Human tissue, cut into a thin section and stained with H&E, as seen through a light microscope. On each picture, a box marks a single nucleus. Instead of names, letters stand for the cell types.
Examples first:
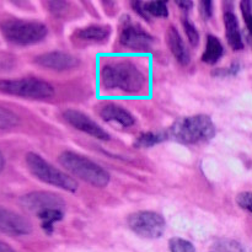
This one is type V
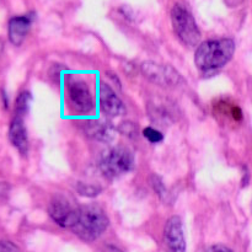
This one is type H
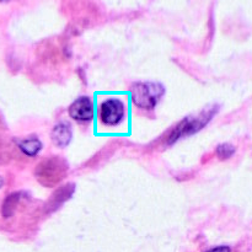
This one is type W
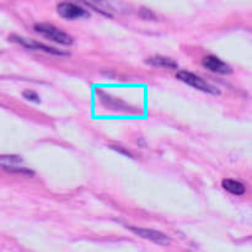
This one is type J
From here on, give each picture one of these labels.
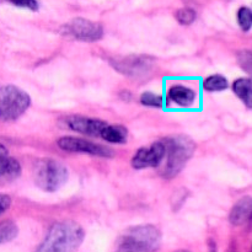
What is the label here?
type W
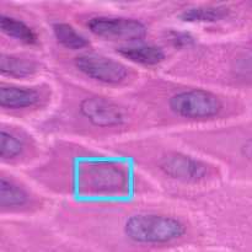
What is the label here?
type V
